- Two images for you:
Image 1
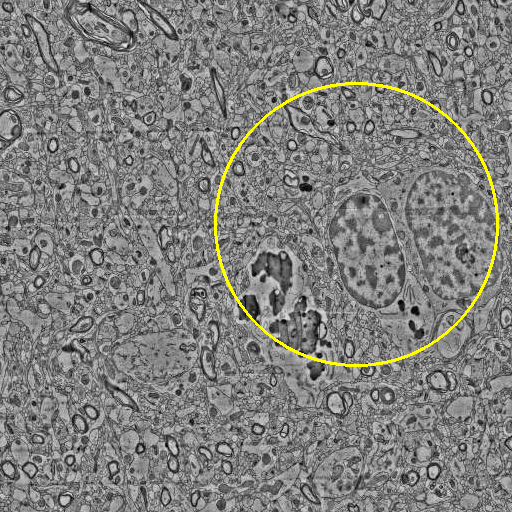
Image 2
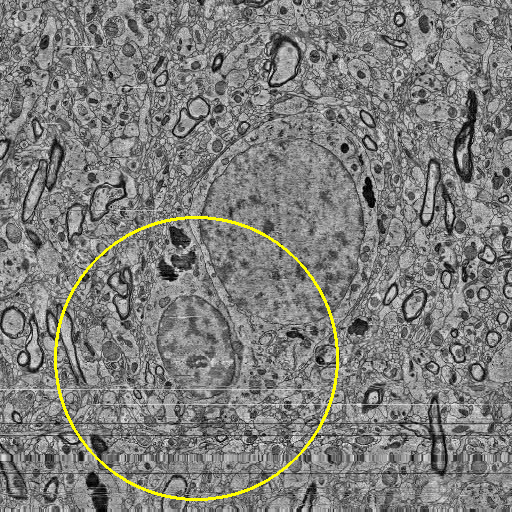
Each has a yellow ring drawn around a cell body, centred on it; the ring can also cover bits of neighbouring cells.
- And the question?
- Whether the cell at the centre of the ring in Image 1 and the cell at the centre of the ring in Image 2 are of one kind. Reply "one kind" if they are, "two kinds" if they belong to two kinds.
two kinds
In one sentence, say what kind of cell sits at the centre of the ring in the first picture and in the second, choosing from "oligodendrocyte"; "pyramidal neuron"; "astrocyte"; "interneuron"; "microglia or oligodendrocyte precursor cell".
The first picture's ringed cell is a microglial cell or oligodendrocyte precursor cell, while the second picture's is an oligodendrocyte.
